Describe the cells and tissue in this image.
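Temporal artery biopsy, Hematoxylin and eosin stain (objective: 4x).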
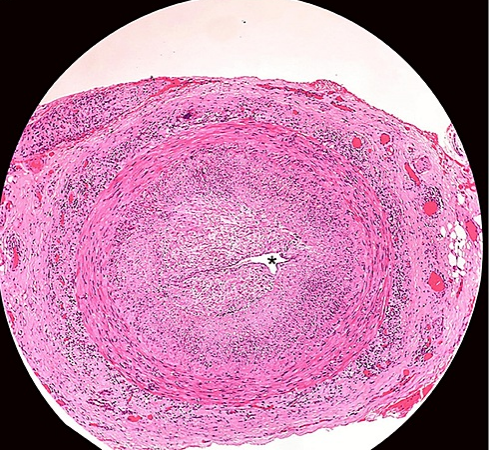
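An outer ring of loose connective tissue with small blood vessels and some fat surrounds a pink, circular muscular wall. Inside this ring the inner layer is hugely thickened, pale and loosely cellular, speckled with many small dark nuclei that crowd most densely near the muscular ring. Only a tiny slit-like lumen remains at the very centre, so that almost the whole interior of the vessel is filled by this thickened tissue.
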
